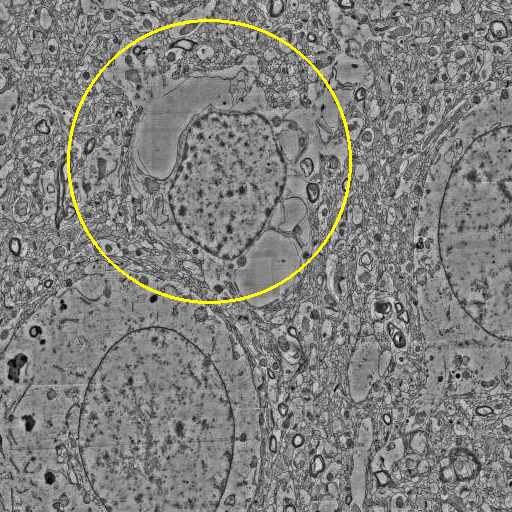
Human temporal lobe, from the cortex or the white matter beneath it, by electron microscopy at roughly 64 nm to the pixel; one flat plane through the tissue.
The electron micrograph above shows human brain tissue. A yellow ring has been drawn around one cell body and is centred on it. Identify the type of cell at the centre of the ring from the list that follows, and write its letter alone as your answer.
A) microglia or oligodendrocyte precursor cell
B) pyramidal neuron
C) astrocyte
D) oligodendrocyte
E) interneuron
C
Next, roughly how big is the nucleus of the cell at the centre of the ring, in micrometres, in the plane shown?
The nucleus is approximately 9 micrometers long by 7 micrometers wide in this plane.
